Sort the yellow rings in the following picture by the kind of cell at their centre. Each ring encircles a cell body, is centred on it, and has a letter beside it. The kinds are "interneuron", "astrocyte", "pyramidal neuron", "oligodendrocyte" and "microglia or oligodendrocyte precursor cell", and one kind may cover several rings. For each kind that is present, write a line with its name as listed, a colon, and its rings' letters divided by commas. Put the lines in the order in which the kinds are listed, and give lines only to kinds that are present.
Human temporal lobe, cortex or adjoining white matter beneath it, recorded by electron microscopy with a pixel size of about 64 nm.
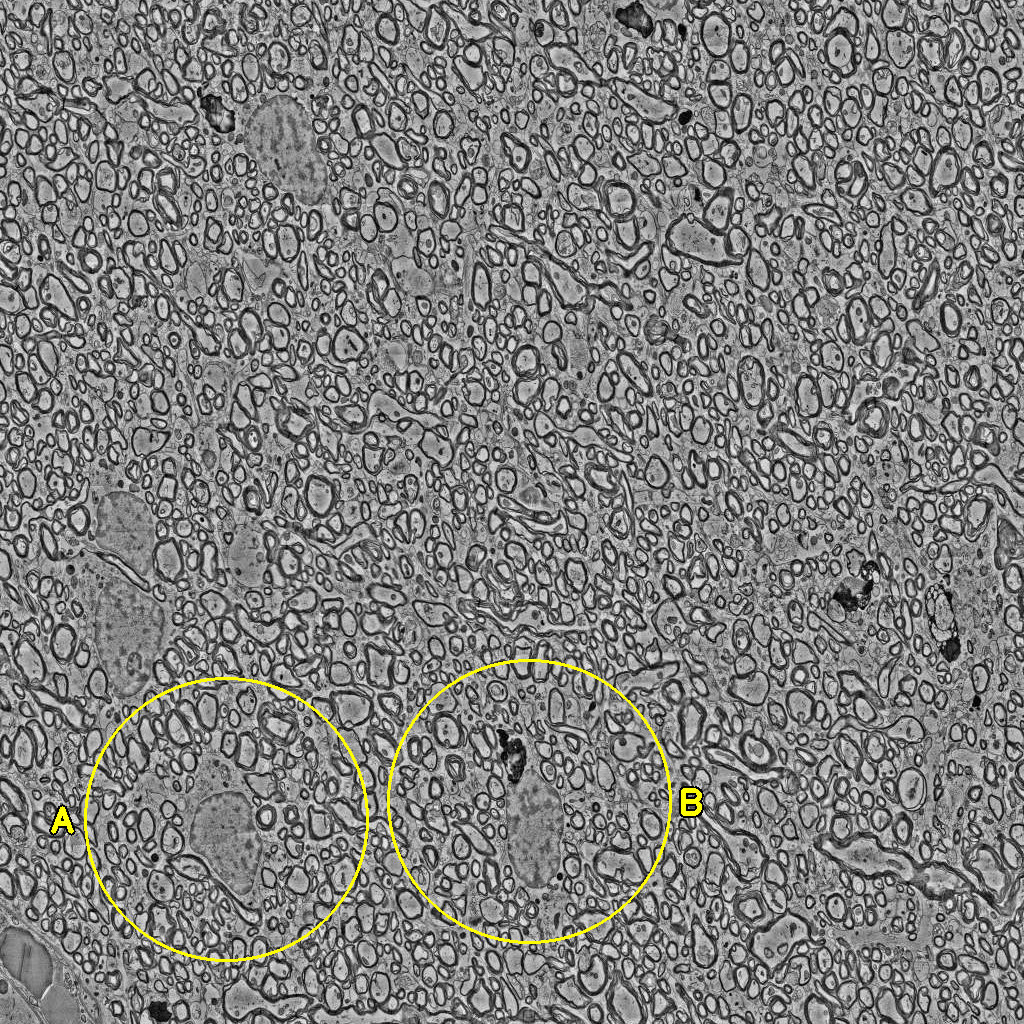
oligodendrocyte: A, B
